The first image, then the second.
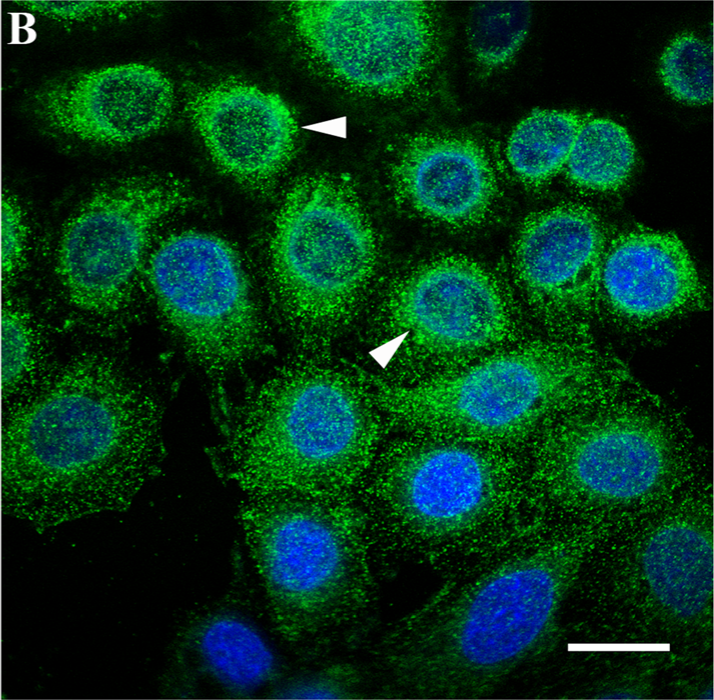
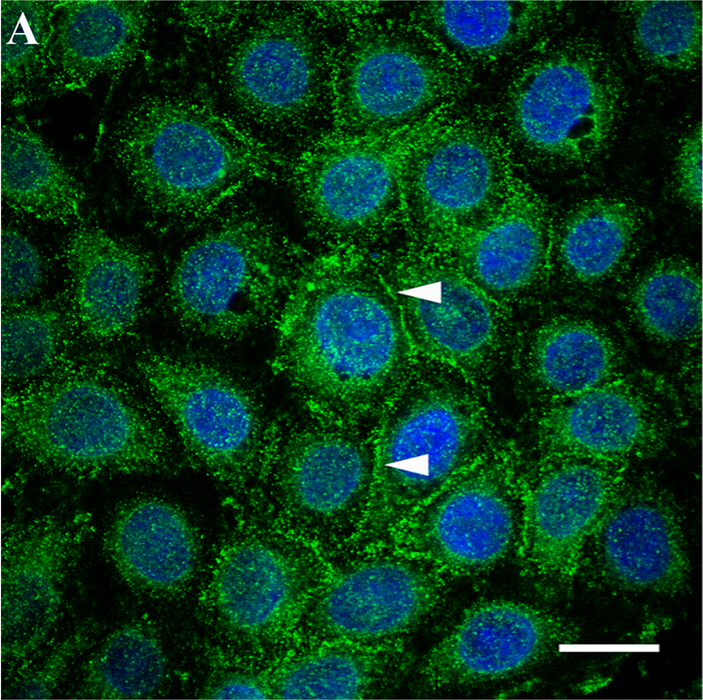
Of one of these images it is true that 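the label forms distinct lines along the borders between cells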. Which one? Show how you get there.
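First image: green dots cluster in rings around the nuclei, with few clear lines at cell borders. Second image: thin green lines outline many cells where they touch their neighbours.
Hence: the second image.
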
